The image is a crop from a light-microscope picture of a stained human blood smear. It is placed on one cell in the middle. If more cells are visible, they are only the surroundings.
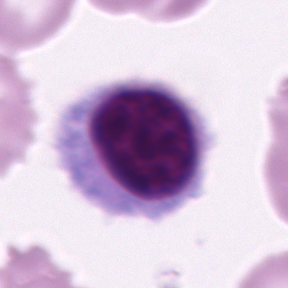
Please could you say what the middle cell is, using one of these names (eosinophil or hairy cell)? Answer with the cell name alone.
hairy cell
